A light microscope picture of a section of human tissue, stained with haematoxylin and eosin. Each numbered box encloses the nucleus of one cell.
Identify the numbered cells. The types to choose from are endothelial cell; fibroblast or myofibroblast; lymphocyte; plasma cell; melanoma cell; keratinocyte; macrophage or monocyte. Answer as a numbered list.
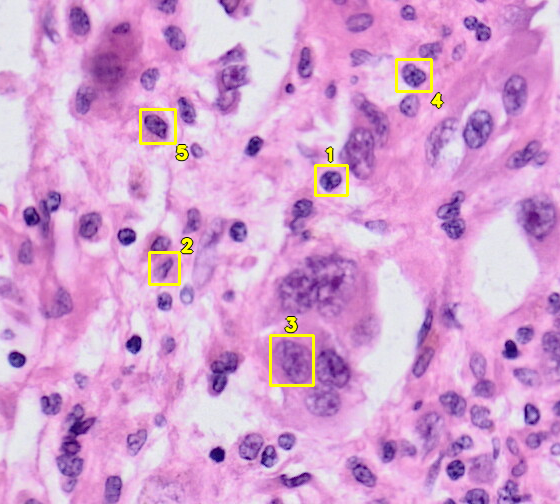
1. lymphocyte
2. macrophage or monocyte
3. melanoma cell
4. lymphocyte
5. macrophage or monocyte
